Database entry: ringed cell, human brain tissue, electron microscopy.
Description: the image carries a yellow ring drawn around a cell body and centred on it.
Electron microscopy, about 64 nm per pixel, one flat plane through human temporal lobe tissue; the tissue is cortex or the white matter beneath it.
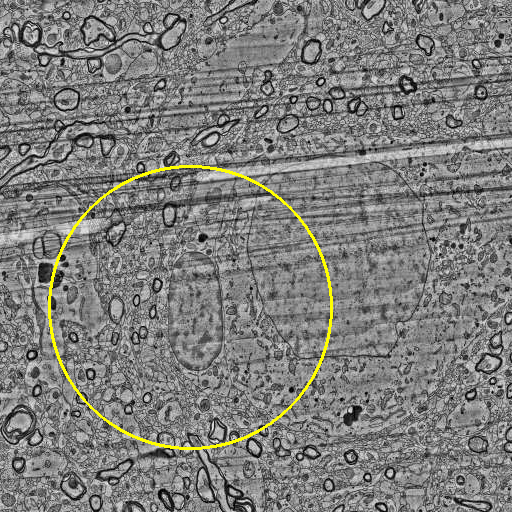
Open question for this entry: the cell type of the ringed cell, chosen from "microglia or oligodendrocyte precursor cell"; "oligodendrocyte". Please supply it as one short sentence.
The ringed cell is a microglial cell or oligodendrocyte precursor cell.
